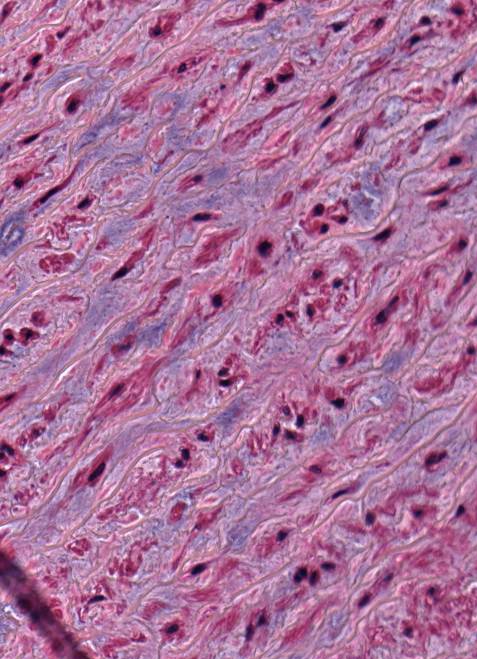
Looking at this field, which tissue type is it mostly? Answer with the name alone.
tunica media of an artery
